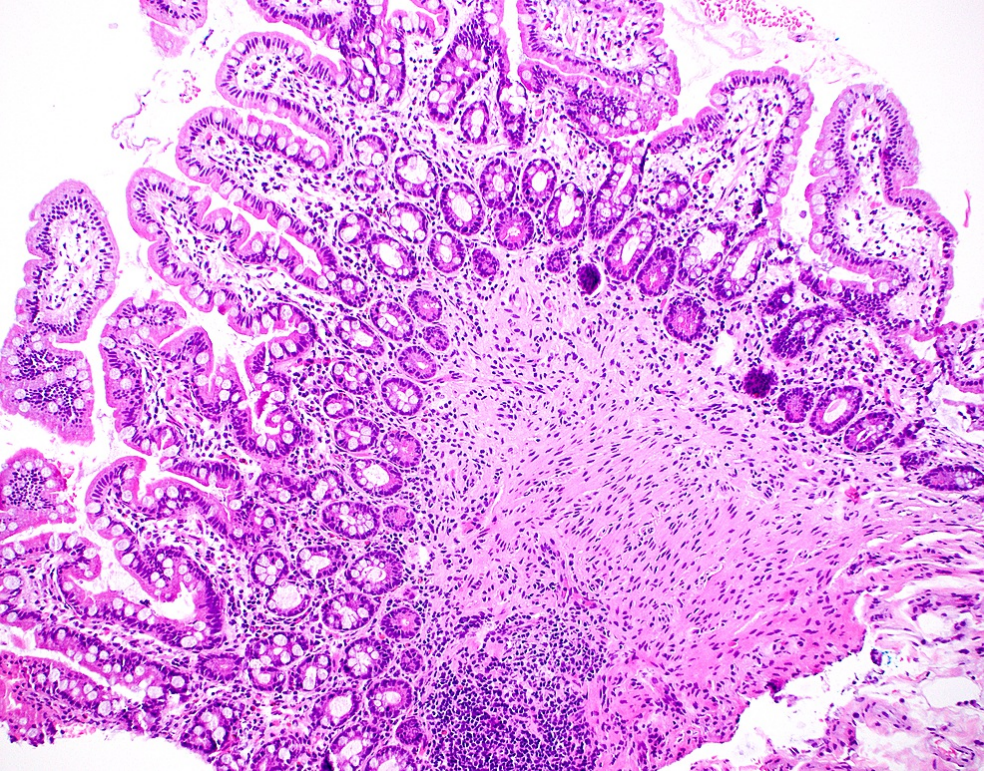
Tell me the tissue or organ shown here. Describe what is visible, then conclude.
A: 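Finger-like villi project from the surface. Villi and crypts are lined by columnar epithelium with many scattered clear goblet cells. Round crypts sit at the base of the villi in a cellular lamina propria. That points to this answer: small bowel.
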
